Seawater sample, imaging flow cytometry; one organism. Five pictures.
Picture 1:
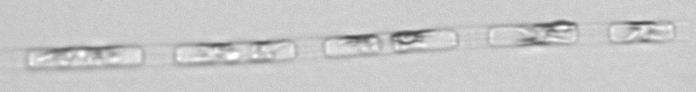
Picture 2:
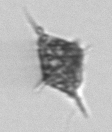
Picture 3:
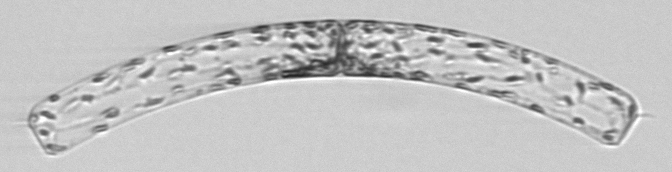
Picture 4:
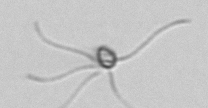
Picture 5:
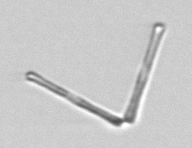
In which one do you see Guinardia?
In picture 3.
